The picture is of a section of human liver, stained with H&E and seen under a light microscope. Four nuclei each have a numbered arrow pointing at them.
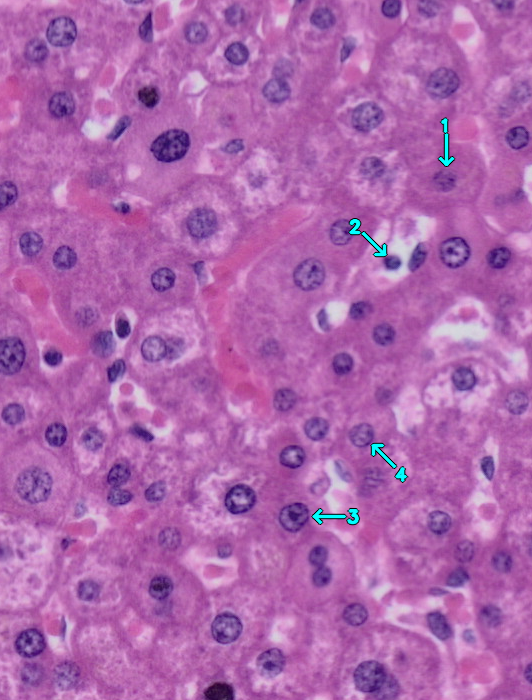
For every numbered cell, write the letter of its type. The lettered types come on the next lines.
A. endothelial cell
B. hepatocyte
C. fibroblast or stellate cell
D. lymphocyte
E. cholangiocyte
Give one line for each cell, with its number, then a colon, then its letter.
1: B
2: D
3: B
4: B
